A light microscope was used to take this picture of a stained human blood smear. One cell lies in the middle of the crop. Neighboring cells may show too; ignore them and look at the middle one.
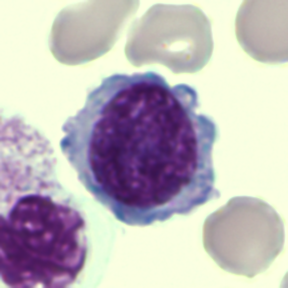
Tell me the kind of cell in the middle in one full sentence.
The cell at the middle of the frame should be recorded as a plasma cell.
